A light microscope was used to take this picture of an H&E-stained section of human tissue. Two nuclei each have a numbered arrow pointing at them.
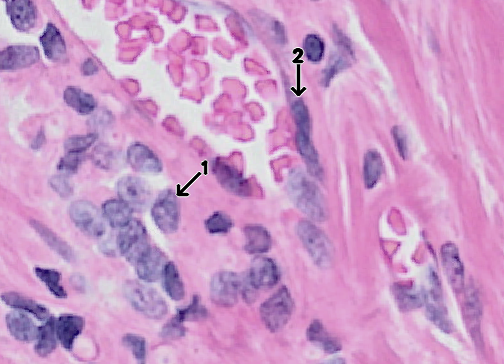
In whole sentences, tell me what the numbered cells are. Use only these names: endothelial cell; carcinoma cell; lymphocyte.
Cell 1 is a carcinoma cell. Cell 2 is an endothelial cell.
